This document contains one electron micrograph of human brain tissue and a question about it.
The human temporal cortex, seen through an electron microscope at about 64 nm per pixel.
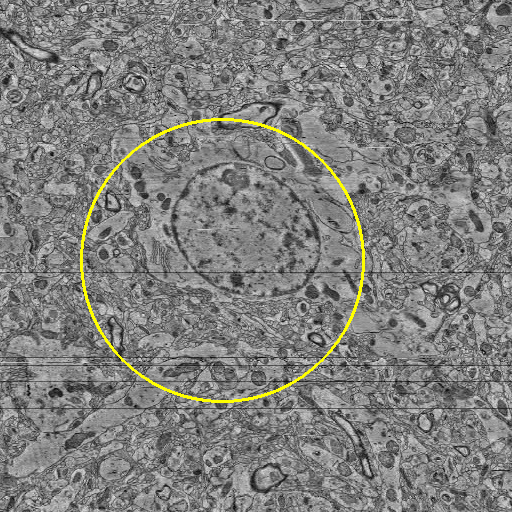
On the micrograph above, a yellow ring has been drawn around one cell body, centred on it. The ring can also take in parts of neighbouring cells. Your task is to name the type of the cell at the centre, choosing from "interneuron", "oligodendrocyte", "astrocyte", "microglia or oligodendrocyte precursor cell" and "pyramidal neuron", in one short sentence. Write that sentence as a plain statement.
Here the ring is centred on an astrocyte.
